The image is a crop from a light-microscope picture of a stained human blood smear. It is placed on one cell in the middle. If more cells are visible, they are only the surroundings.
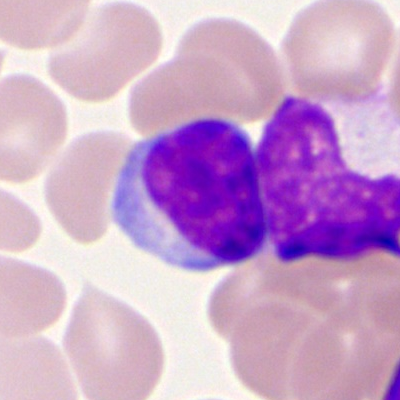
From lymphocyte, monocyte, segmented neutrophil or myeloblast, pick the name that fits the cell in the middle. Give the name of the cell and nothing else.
lymphocyte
